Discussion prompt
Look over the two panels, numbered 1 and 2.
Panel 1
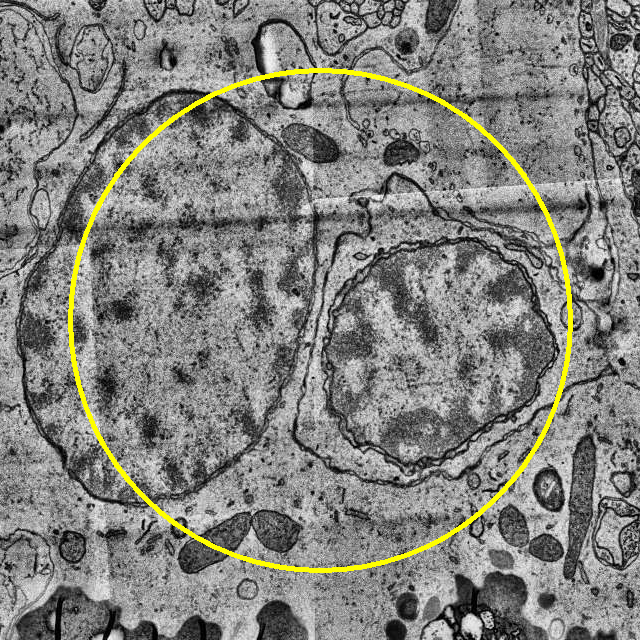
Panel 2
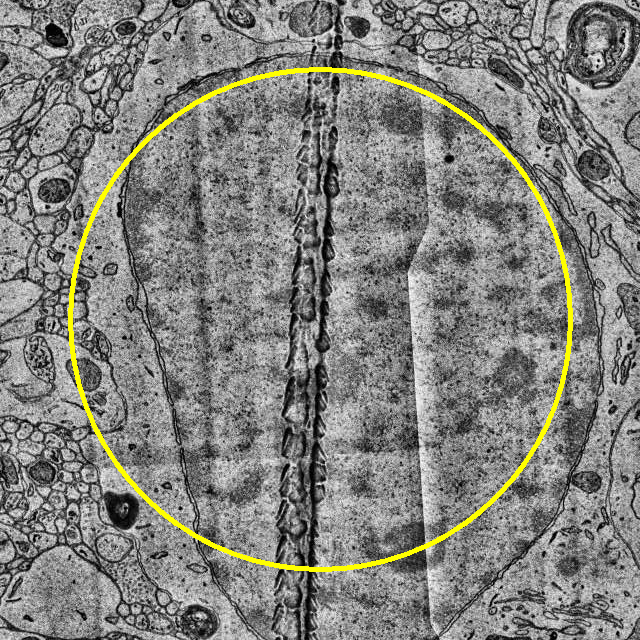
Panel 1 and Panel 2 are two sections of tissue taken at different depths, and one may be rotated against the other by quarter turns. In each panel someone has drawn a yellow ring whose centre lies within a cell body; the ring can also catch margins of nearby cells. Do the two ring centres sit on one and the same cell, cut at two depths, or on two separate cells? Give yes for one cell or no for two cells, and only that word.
yes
